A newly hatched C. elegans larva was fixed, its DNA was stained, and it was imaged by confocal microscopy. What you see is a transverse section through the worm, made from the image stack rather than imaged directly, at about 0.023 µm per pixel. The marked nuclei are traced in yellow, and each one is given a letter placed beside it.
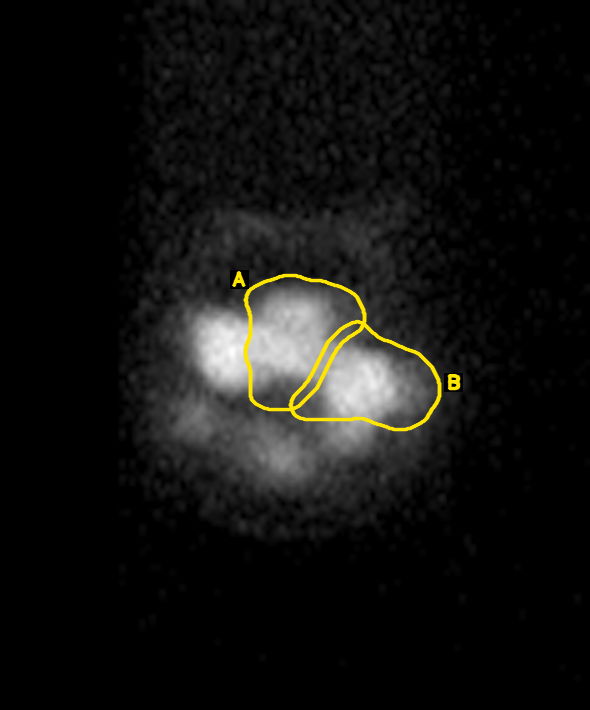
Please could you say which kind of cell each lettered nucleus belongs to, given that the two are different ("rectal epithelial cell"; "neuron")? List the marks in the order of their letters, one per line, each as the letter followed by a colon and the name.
A: rectal epithelial cell
B: neuron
